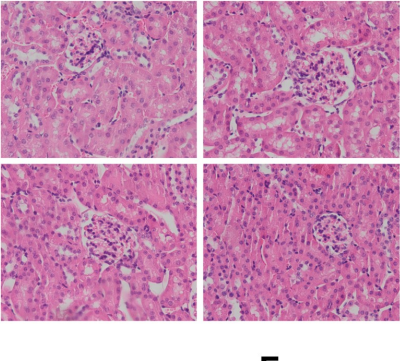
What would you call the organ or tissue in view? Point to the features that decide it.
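Kidney. Each image has a rounded tuft of densely nucleated capillary loops inside a thin capsule with a clear space around it. The tuft is surrounded by closely packed tubules lined by cuboidal cells with pink cytoplasm.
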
